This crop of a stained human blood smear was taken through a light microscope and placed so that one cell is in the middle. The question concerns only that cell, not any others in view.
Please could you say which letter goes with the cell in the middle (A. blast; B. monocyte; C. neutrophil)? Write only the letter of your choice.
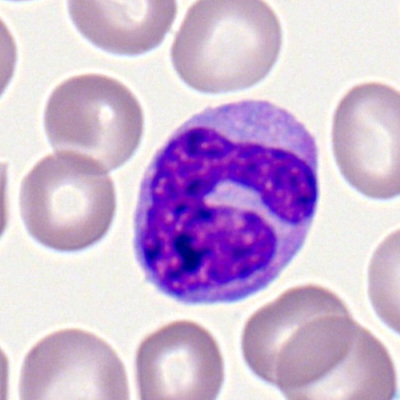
B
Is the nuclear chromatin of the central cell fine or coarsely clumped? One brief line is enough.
Take a look at the chromatin, which is coarsely clumped.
